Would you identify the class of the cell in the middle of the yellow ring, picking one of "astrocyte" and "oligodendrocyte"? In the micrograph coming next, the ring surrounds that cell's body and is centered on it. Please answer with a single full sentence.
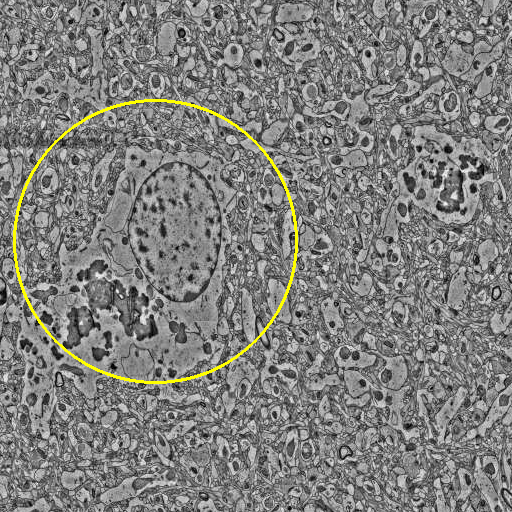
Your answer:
In the micrograph, it is an astrocyte whose body lies at the ring's center.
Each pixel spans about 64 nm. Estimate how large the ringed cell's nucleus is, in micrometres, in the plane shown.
In this plane the nucleus measures roughly 9 by 6 micrometers.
